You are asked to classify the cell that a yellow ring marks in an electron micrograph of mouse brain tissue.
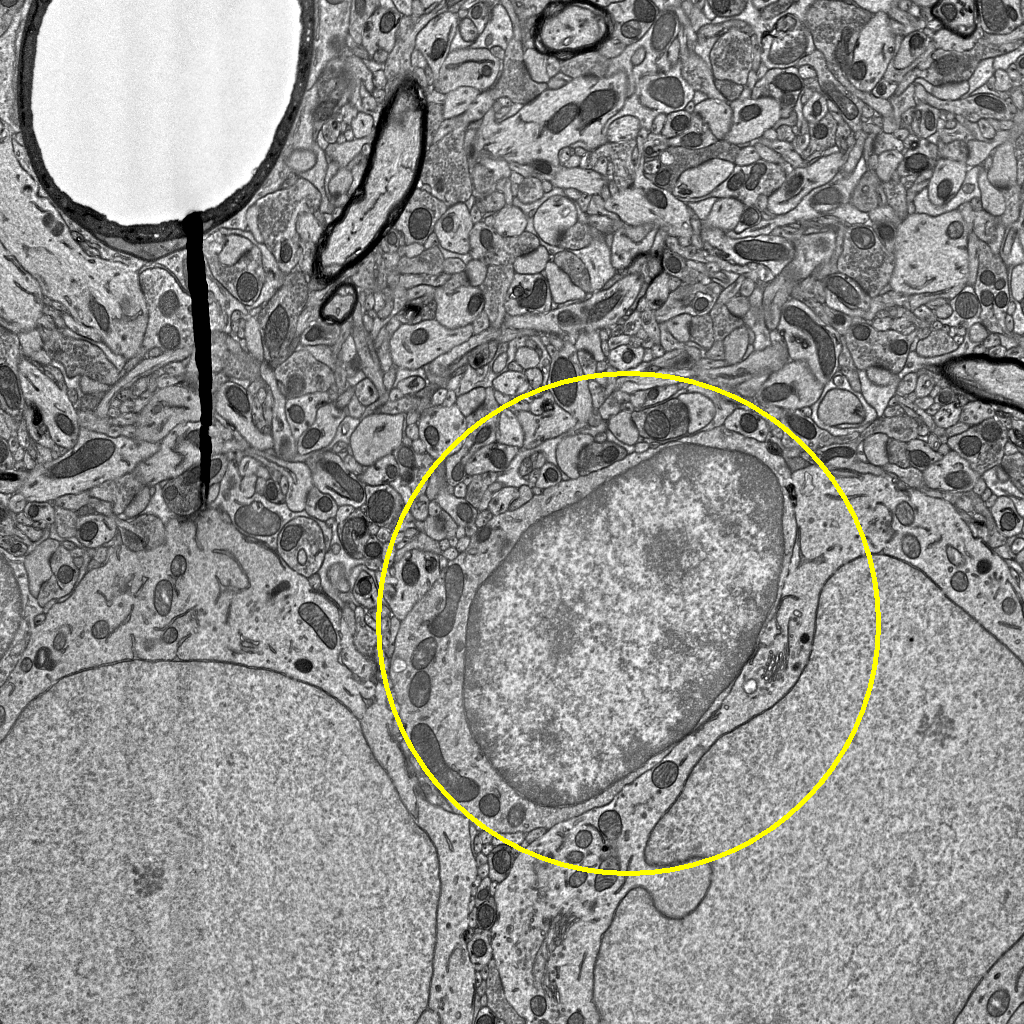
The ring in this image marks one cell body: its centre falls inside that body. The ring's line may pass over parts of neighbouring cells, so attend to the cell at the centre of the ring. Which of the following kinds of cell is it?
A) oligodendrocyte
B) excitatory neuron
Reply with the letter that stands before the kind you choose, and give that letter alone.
A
